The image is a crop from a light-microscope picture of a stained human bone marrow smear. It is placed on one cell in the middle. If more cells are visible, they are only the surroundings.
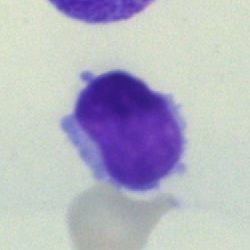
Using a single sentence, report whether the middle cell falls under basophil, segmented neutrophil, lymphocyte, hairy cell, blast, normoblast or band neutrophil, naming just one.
This crop's central cell is a lymphocyte.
